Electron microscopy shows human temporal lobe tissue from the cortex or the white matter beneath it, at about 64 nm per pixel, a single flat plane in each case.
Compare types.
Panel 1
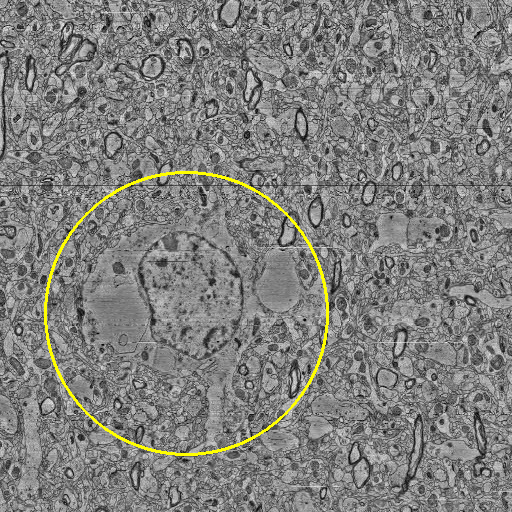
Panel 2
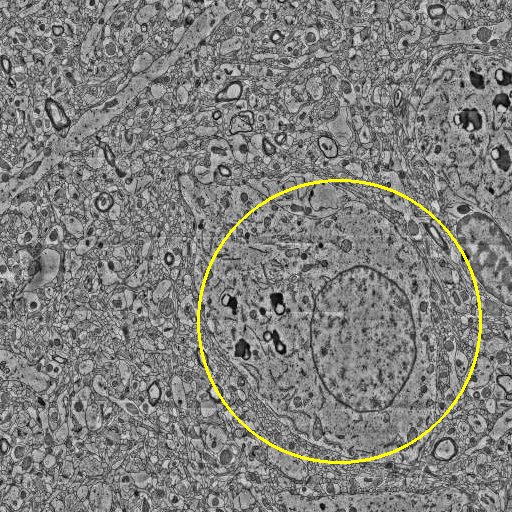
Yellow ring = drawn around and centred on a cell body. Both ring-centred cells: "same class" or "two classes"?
two classes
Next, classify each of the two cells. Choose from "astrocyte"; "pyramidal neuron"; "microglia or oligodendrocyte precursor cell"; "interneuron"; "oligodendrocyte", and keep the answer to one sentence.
In the first picture it is an astrocyte; in the second it is a pyramidal neuron.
